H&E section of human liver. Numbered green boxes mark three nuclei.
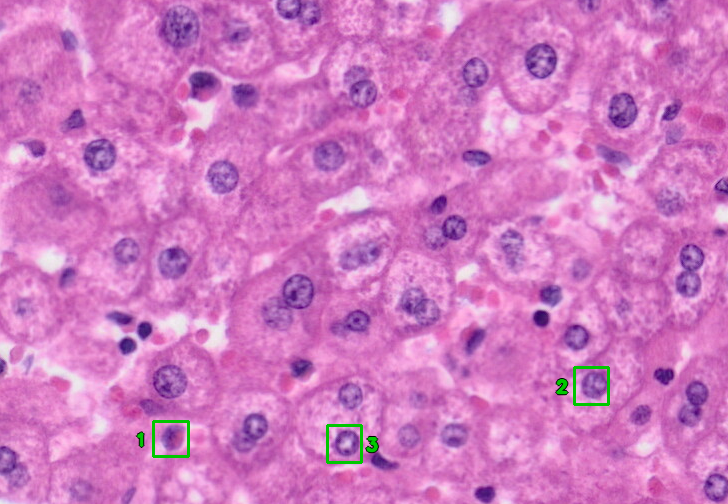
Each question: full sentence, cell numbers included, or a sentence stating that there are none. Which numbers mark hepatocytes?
The cells numbered 2 and 3 are, by type, hepatocytes.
